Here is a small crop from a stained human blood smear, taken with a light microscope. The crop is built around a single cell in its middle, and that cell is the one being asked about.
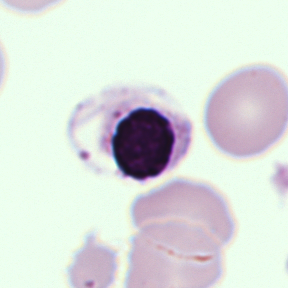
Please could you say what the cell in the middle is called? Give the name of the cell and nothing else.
erythroblast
